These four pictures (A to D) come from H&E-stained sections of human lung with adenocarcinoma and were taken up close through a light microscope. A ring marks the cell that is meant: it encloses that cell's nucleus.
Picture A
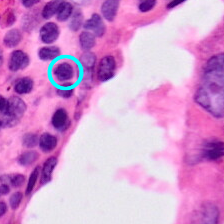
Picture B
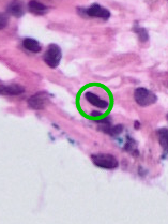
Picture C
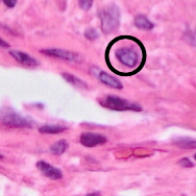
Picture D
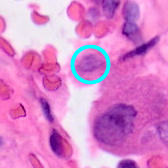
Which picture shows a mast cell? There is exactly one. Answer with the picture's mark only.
C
